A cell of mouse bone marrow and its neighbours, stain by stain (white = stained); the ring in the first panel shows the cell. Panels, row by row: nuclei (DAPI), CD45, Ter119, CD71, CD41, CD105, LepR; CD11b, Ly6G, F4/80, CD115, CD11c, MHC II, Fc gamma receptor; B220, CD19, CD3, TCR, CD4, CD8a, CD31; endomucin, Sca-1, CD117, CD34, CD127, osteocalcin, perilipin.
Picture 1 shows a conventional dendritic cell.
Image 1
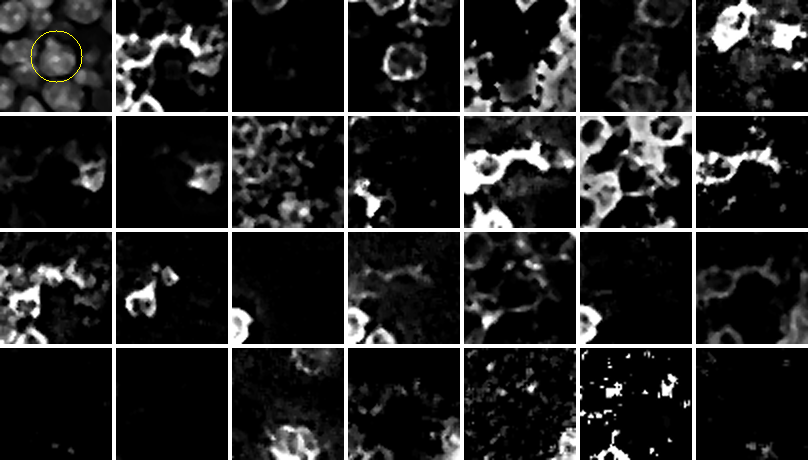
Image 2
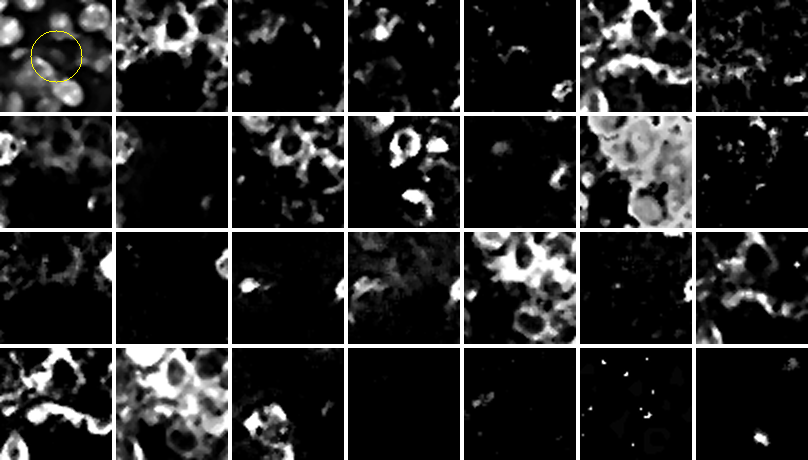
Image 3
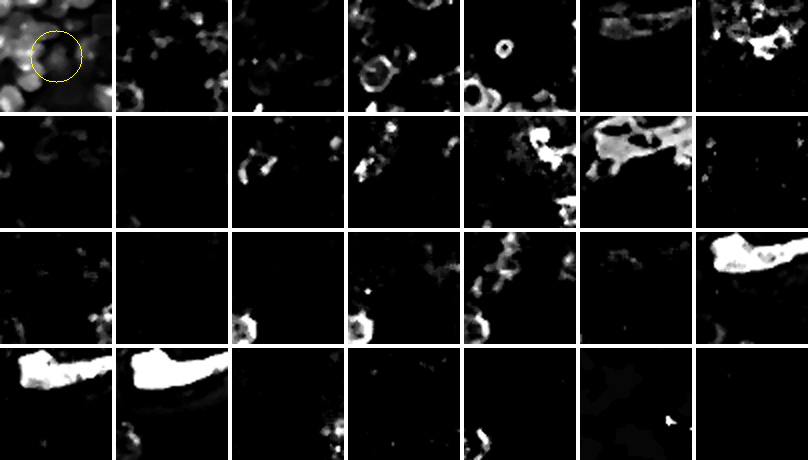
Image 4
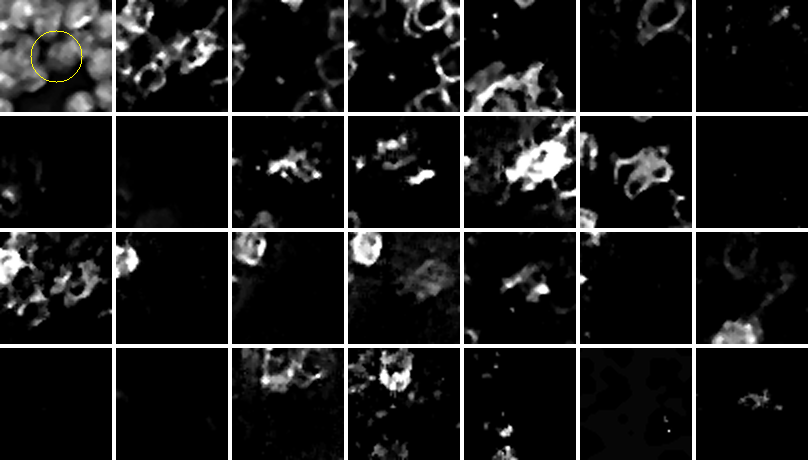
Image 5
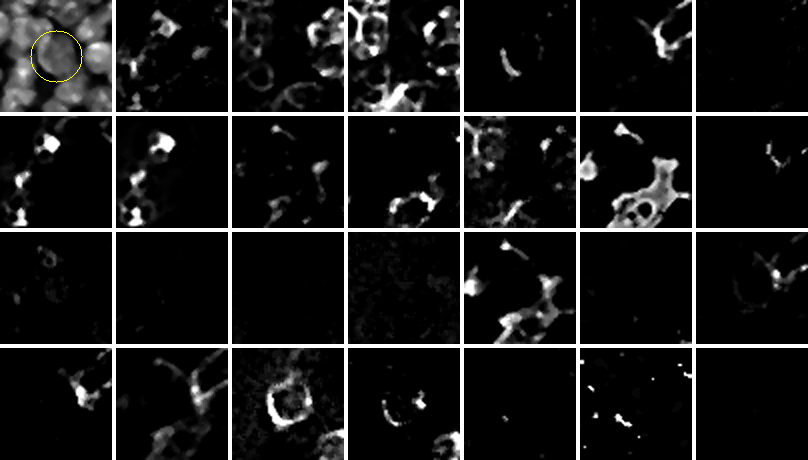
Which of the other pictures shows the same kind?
Picture 4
